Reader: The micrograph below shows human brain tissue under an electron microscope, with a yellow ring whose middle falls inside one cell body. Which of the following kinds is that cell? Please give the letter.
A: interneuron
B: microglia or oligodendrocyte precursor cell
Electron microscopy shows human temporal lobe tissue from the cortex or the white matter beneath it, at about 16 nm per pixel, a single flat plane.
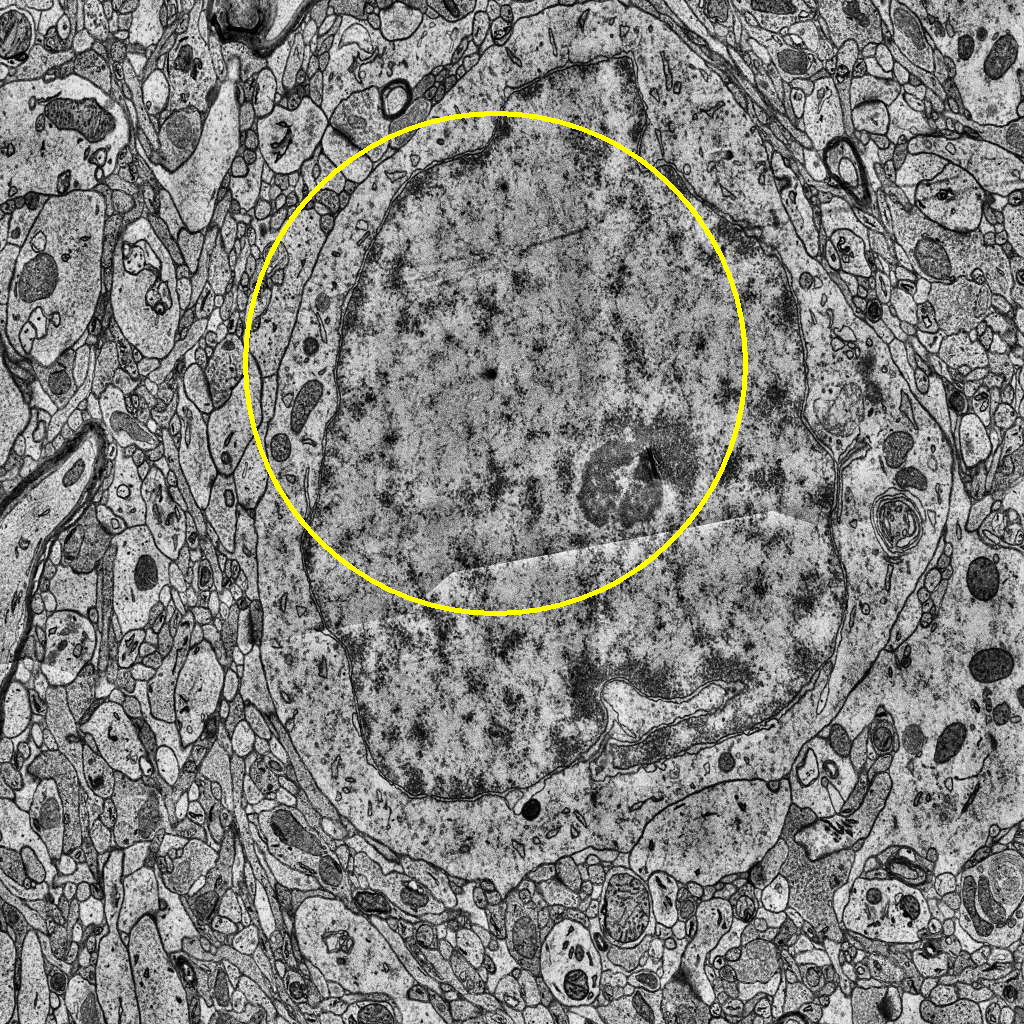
A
